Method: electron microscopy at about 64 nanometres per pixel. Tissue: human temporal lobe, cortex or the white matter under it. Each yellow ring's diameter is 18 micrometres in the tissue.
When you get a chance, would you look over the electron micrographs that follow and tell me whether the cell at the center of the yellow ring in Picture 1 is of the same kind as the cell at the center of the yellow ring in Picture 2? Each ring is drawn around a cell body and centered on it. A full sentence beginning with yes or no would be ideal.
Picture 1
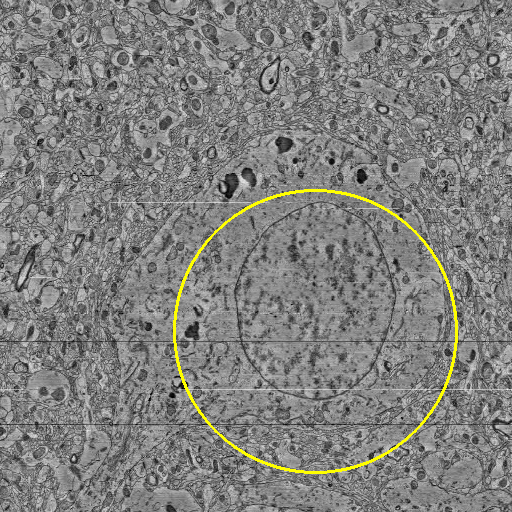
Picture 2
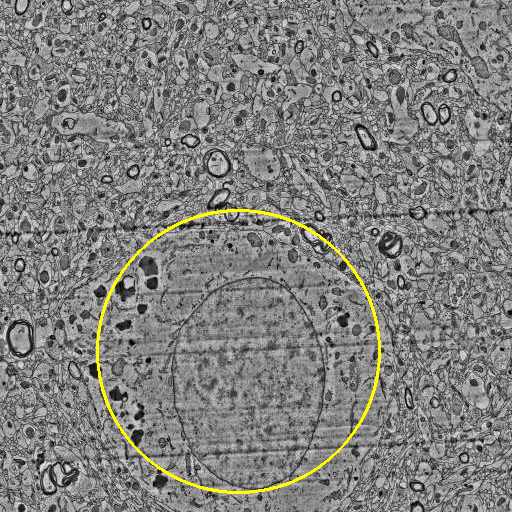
Yes, the two cells are of the same kind.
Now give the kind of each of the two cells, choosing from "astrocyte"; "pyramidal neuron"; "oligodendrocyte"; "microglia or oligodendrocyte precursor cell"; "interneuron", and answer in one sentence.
The first and the second cell are each a pyramidal neuron.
